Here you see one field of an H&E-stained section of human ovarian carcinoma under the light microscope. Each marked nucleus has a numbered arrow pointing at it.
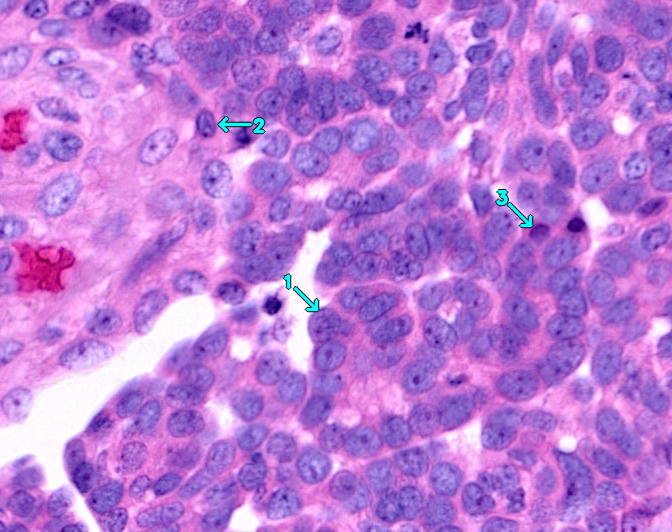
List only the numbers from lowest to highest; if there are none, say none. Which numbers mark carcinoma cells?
1, 3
